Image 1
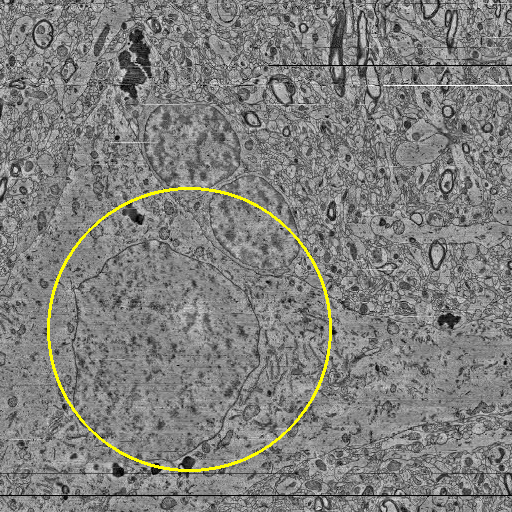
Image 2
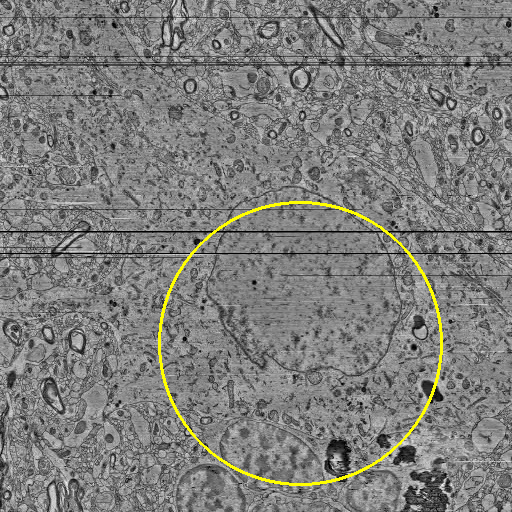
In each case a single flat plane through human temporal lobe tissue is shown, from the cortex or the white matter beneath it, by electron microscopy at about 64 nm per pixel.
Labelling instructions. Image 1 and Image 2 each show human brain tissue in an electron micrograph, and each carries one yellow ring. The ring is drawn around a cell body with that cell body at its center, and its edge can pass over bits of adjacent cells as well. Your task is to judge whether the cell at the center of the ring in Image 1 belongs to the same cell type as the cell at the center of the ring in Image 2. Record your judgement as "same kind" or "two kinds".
same kind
